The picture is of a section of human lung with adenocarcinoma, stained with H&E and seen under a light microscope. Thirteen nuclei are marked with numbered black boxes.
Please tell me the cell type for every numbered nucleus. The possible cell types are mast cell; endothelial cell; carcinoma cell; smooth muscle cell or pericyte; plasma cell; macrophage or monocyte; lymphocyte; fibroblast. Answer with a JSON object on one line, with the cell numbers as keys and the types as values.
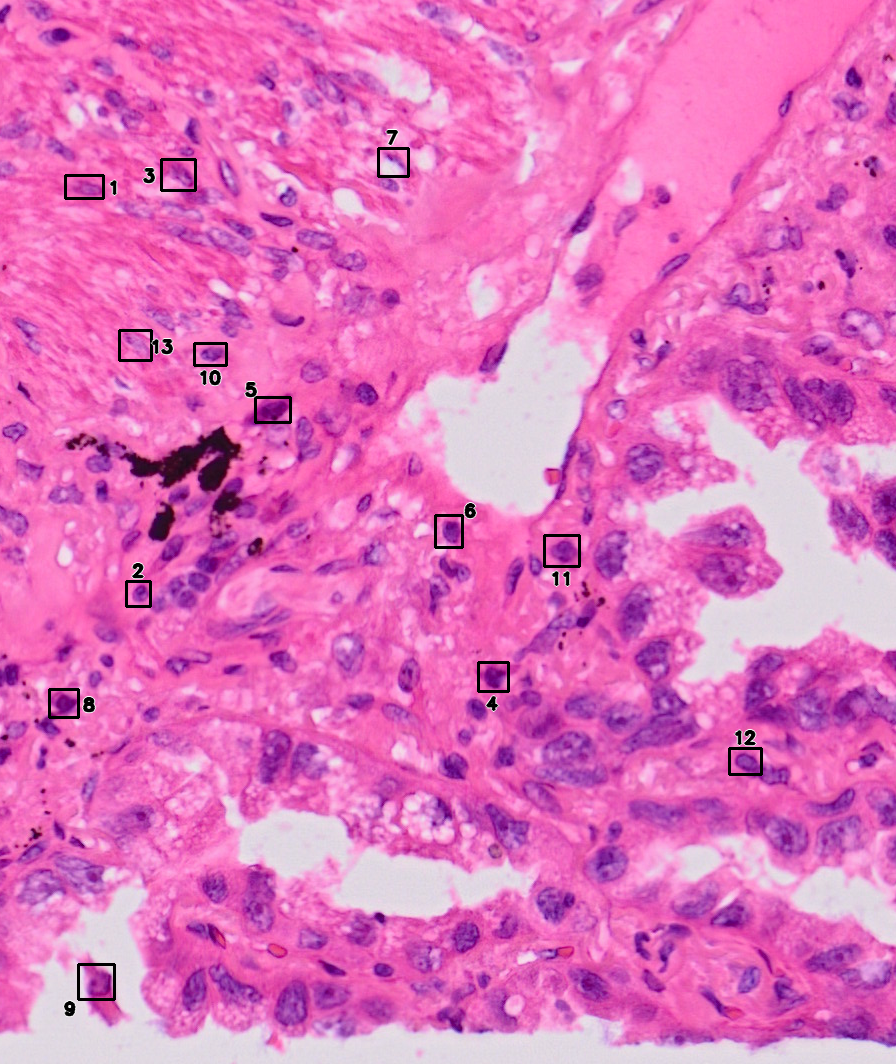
{"1": "smooth muscle cell or pericyte", "2": "lymphocyte", "3": "smooth muscle cell or pericyte", "4": "plasma cell", "5": "plasma cell", "6": "lymphocyte", "7": "smooth muscle cell or pericyte", "8": "plasma cell", "9": "macrophage or monocyte", "10": "mast cell", "11": "plasma cell", "12": "mast cell", "13": "smooth muscle cell or pericyte"}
